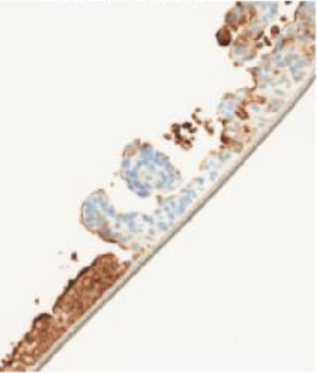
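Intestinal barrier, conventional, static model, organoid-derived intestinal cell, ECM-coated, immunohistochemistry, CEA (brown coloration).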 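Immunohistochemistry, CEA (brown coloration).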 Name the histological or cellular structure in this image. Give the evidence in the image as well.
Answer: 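A thin, straight, evenly thick band runs diagonally across the panel. A layer of cells with blue nuclei lies on one side of the band. The band carries no nuclei of its own. The answer: transwell membranes.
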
